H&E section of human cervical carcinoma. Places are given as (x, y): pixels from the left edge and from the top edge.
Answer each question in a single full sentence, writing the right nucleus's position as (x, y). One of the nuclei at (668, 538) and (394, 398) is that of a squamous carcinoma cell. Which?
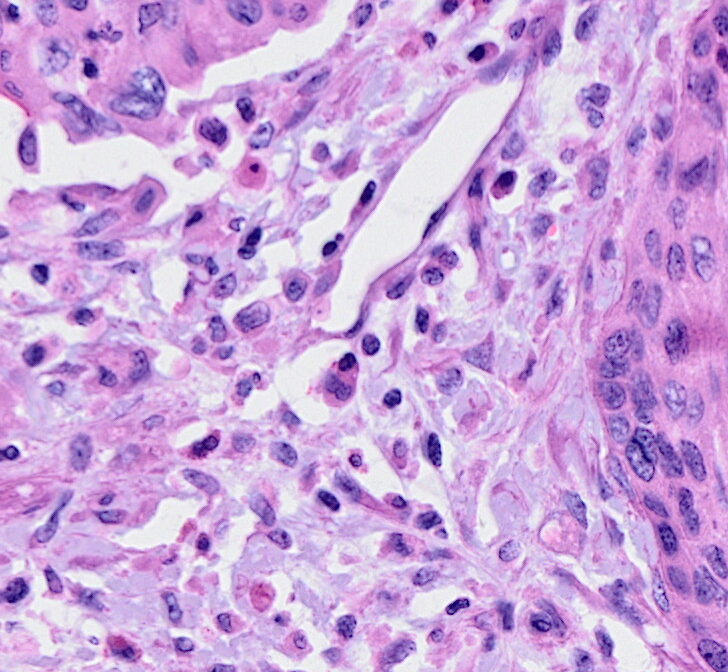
Belonging to a squamous carcinoma cell is the nucleus at (668, 538).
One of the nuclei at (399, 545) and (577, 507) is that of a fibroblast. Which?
It is the nucleus at (577, 507) that forms part of a fibroblast.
